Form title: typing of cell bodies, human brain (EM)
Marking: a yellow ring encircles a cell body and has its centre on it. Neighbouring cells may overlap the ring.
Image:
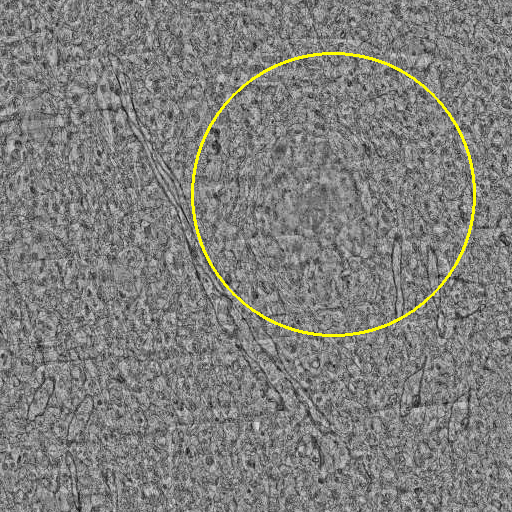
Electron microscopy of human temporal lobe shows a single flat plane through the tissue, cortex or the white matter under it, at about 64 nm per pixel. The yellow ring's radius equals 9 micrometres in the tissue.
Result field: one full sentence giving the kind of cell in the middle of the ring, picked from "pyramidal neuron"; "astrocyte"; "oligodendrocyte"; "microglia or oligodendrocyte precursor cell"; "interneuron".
In the picture, the ring is centred on an interneuron, whose cell body it encircles.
